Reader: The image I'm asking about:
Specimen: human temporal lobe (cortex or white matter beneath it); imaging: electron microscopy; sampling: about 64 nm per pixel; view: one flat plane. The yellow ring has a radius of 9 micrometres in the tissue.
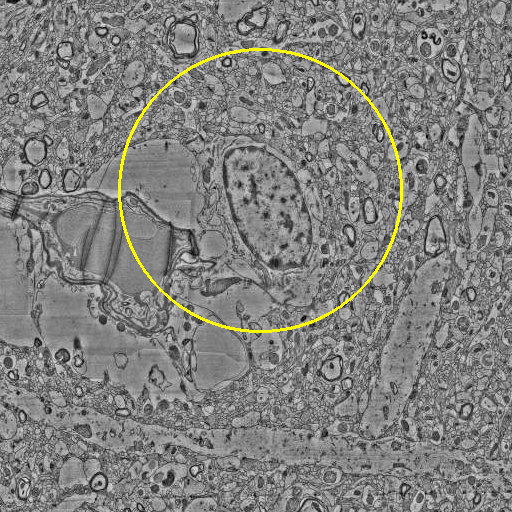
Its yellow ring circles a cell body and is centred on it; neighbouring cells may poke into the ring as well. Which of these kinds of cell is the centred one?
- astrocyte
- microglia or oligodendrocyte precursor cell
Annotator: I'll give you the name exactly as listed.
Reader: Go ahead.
microglia or oligodendrocyte precursor cell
